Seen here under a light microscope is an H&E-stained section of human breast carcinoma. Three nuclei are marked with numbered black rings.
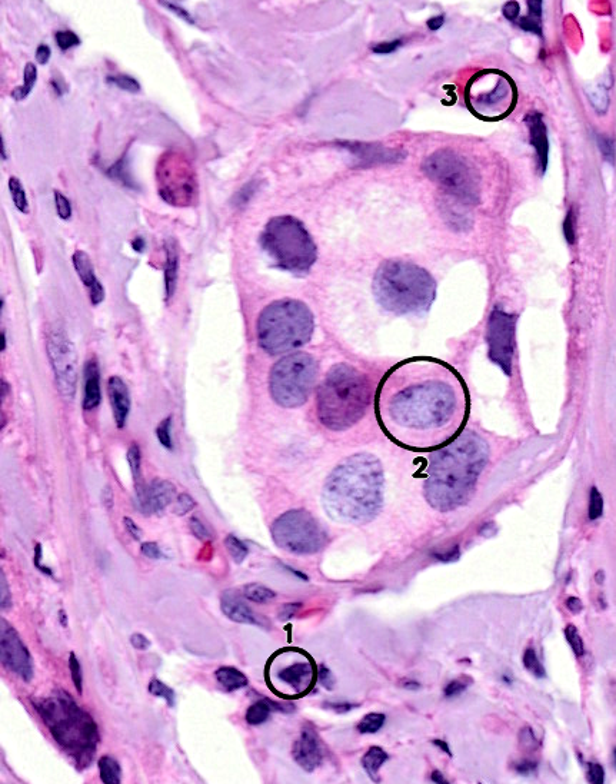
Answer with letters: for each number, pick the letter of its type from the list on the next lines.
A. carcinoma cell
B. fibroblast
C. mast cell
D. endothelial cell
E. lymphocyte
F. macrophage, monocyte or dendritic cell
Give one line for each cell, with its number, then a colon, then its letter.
1: E
2: A
3: D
